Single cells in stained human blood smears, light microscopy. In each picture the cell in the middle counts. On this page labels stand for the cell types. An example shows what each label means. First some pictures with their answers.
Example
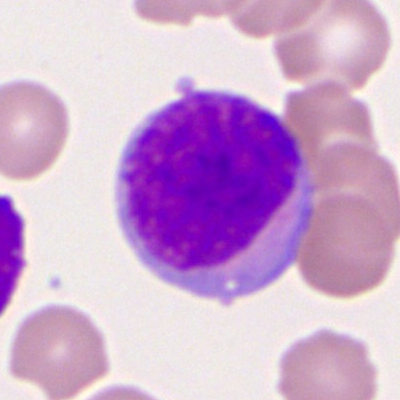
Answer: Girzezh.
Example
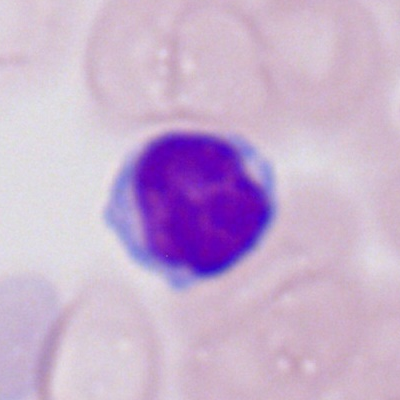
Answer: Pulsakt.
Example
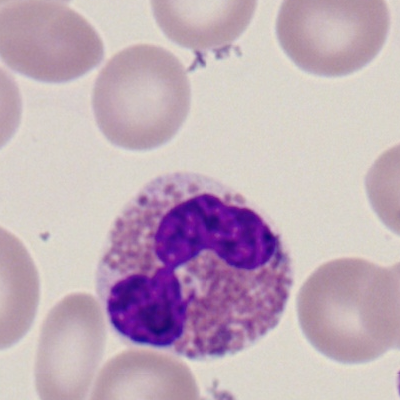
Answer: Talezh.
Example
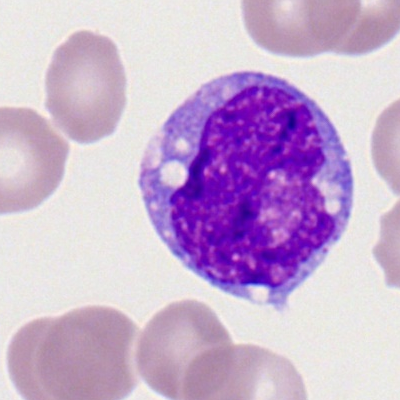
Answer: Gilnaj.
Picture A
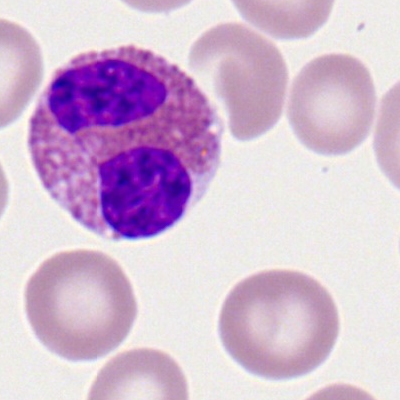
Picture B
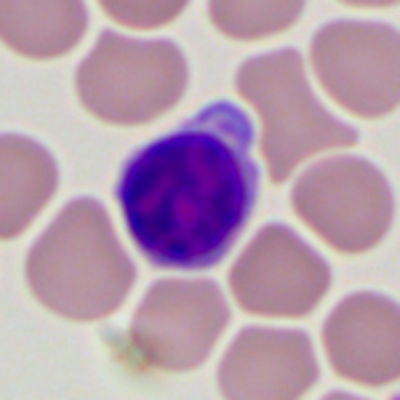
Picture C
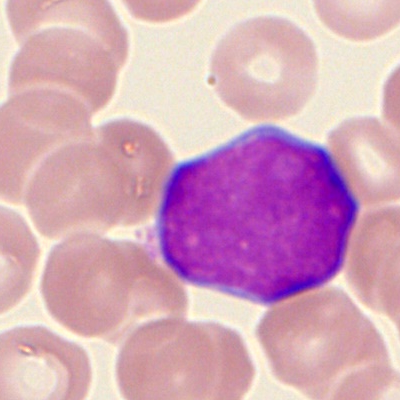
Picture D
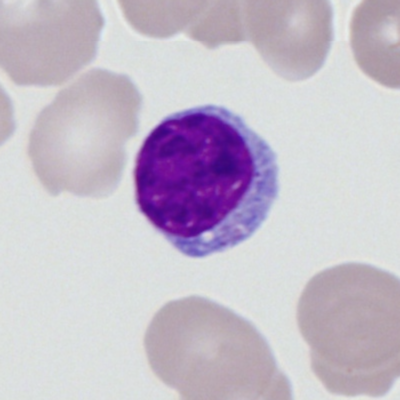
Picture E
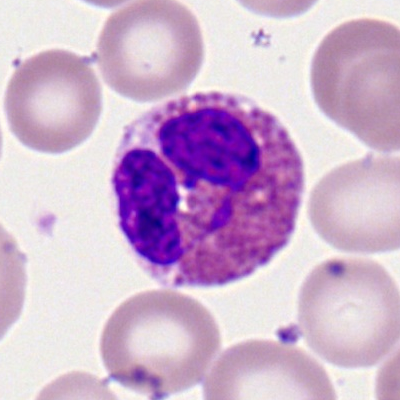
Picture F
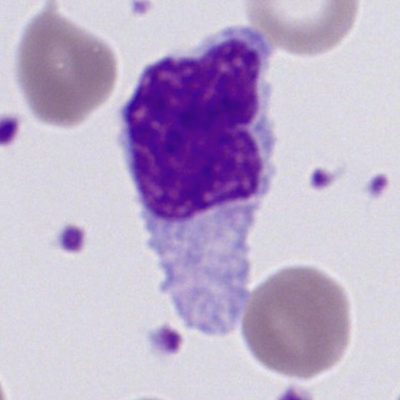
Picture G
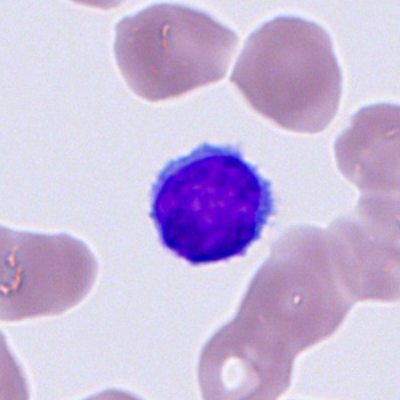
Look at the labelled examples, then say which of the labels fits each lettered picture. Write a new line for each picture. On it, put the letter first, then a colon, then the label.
A: Talezh.
B: Pulsakt.
C: Girzezh.
D: Pulsakt.
E: Talezh.
F: Gilnaj.
G: Pulsakt.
